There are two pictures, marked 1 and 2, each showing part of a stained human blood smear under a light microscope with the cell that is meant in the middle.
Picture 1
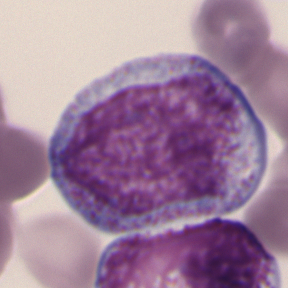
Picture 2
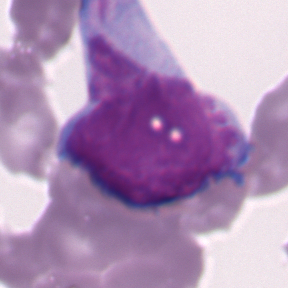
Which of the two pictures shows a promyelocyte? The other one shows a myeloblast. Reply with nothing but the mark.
1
